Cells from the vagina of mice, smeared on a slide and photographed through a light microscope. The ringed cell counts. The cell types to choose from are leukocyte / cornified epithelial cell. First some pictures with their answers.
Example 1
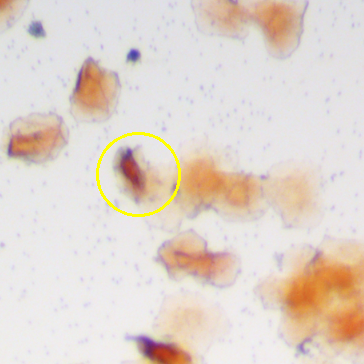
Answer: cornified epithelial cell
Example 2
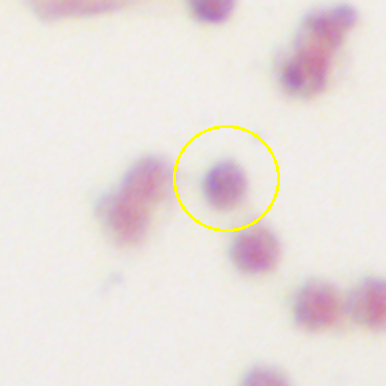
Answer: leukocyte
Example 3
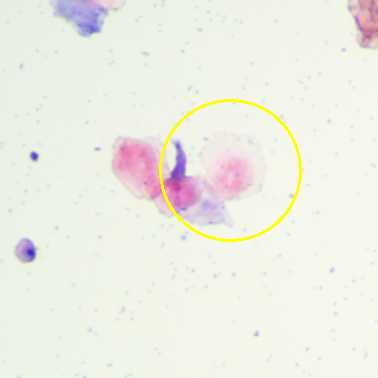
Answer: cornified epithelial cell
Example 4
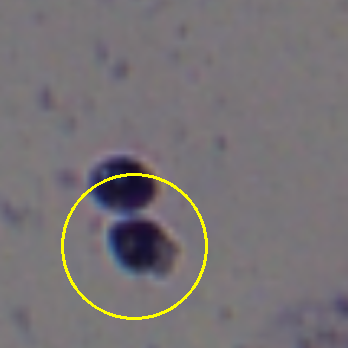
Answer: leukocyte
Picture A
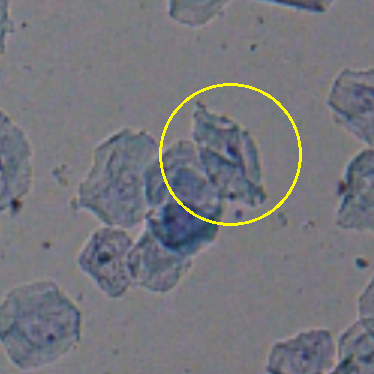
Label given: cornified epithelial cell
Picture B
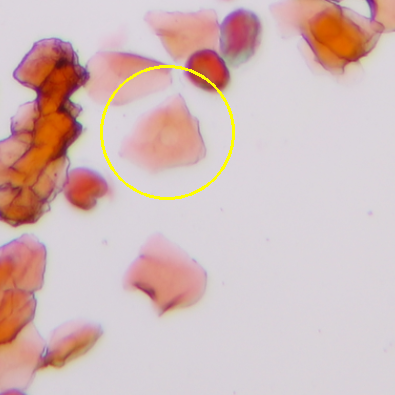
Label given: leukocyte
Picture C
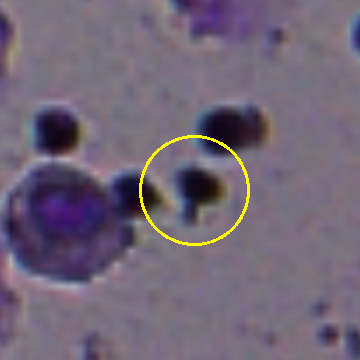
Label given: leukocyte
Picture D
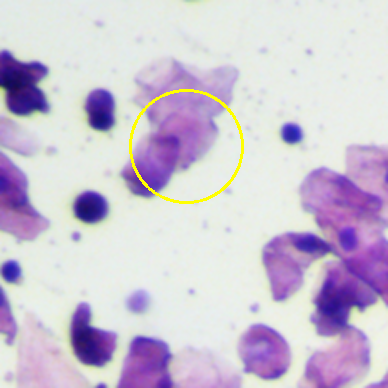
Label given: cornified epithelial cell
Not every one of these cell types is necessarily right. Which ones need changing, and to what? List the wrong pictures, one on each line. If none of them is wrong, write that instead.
B: cornified epithelial cell, not leukocyte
